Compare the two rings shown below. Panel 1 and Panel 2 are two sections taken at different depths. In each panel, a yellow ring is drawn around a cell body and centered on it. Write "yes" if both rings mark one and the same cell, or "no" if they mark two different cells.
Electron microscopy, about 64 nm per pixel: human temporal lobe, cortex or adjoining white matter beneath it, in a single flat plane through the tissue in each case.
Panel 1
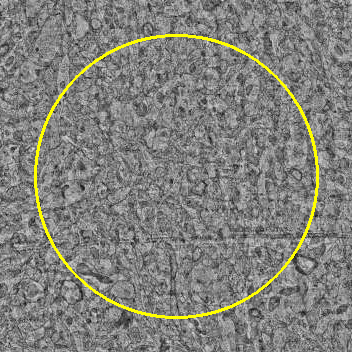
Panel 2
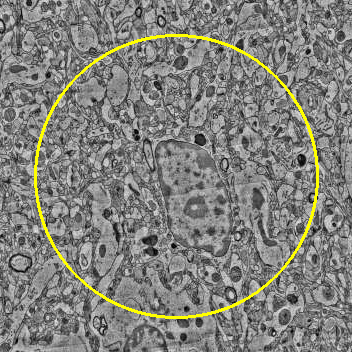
yes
